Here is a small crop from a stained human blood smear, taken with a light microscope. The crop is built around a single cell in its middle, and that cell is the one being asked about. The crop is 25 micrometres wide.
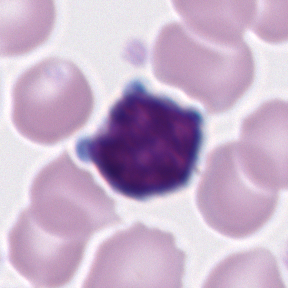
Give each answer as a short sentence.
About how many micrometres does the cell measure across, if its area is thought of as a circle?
The diameter of the cell comes to about 10 micrometres.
